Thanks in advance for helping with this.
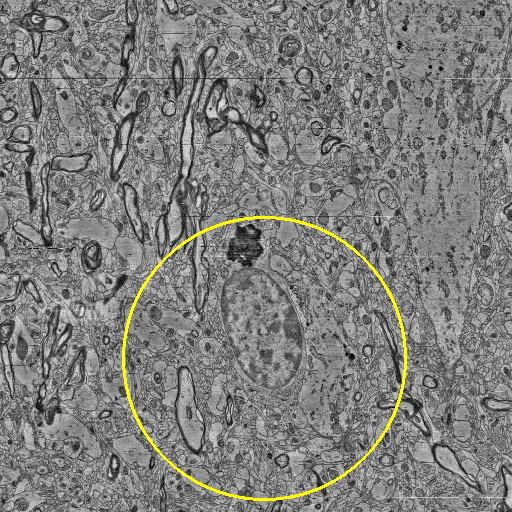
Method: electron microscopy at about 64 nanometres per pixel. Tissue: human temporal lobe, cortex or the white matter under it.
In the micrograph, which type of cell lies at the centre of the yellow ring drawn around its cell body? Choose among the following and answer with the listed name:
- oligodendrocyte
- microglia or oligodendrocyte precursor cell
oligodendrocyte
